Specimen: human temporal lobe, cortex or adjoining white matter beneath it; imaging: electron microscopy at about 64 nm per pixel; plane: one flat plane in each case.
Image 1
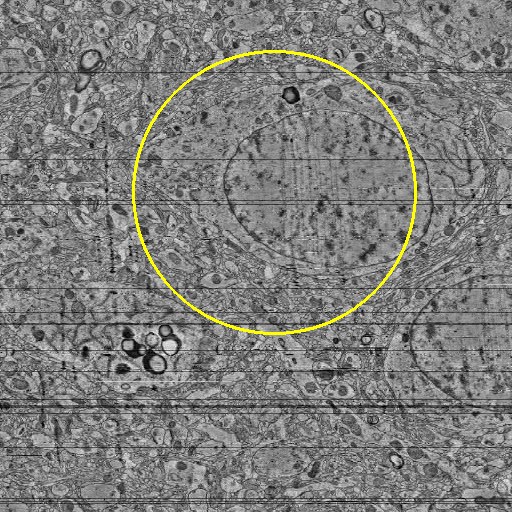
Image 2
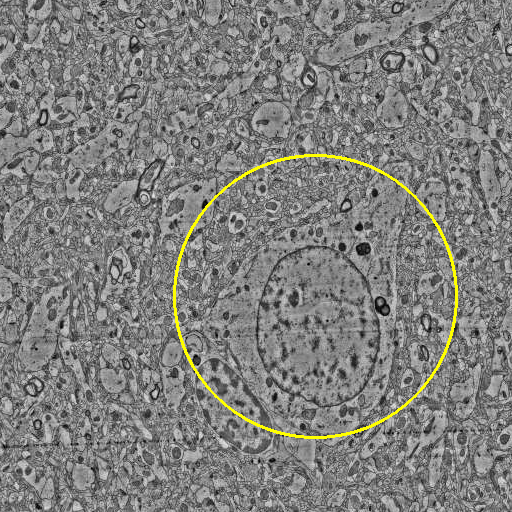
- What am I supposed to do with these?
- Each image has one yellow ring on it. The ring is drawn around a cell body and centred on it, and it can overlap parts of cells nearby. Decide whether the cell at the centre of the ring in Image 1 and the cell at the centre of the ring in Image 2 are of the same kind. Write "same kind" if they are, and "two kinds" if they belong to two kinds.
same kind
